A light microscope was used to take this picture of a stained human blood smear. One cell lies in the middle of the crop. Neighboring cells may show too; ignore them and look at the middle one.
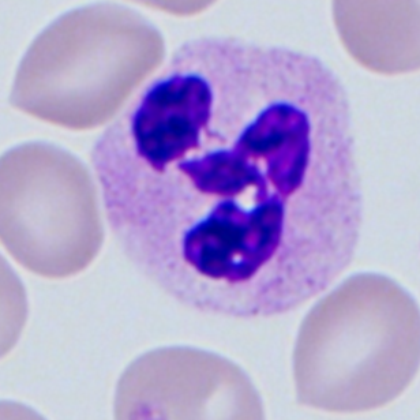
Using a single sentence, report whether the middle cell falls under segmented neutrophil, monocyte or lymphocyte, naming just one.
Positioned in the middle of the crop is a segmented neutrophil.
